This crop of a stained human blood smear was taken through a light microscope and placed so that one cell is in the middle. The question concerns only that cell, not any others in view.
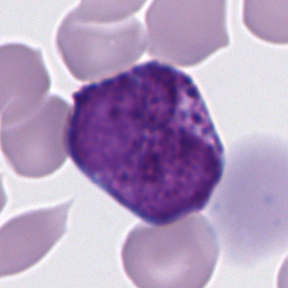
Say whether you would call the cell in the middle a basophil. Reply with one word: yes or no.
yes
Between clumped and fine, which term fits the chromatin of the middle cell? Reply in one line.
The chromatin is fine throughout, without coarse clumps.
